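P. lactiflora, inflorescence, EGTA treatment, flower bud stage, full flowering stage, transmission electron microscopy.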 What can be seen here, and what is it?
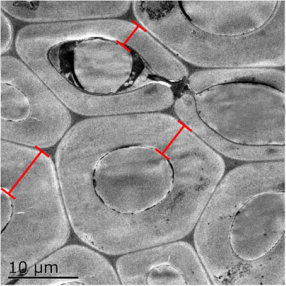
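Cross-sectioned plant stem cells, closely packed and rounded to polygonal, each enclosed by a very thick, pale, layered wall. A thin dark line runs between the walls of neighbouring cells, and red brackets span the width of the walls. The lumens are narrowed and hold irregular grey material.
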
